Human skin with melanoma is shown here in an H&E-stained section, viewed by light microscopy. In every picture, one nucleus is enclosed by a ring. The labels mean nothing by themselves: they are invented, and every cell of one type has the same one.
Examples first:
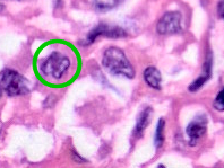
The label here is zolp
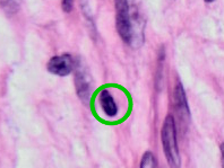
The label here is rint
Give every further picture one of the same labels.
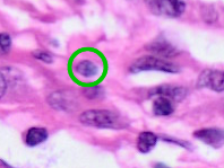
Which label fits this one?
rint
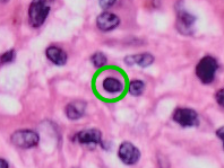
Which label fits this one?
rint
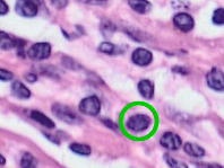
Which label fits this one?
rint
